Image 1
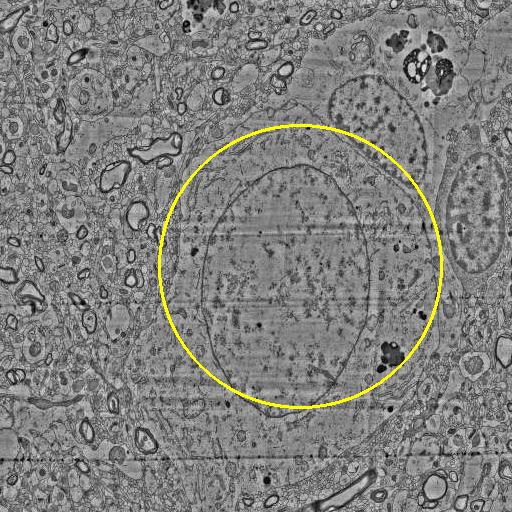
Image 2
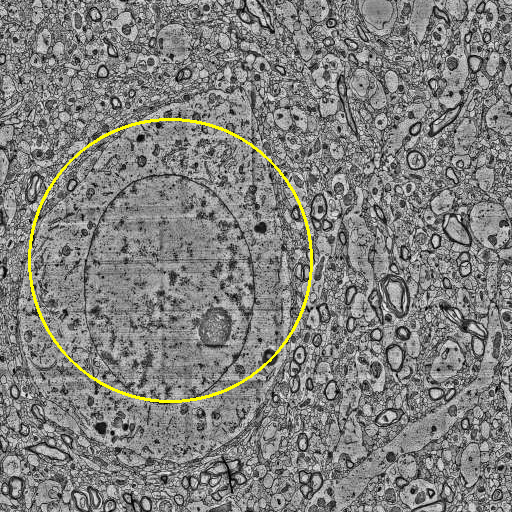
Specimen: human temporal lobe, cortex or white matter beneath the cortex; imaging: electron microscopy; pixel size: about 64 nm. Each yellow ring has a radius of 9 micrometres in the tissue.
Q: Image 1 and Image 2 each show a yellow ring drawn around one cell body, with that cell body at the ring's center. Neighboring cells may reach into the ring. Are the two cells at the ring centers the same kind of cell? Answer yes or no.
yes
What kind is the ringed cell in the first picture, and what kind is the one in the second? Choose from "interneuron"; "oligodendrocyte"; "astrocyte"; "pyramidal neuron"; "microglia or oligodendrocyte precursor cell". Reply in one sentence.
Each cell, in the first picture and the second, is a pyramidal neuron.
